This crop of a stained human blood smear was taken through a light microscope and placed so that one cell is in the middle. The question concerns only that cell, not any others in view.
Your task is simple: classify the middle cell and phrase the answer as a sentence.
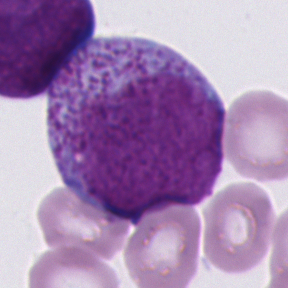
For this crop, the cell in the middle is a promyelocyte.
